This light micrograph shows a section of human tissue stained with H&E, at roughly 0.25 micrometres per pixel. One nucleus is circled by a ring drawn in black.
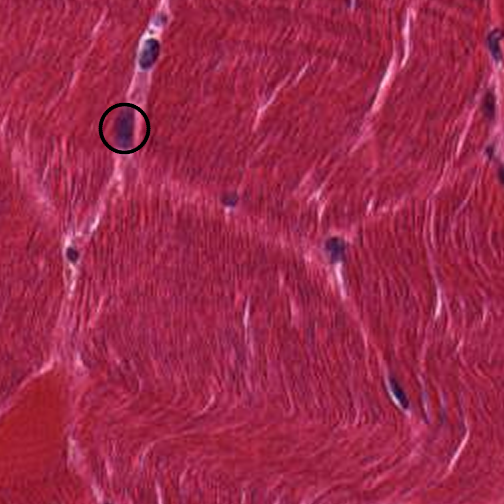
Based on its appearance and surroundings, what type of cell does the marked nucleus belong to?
skeletal muscle fibre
